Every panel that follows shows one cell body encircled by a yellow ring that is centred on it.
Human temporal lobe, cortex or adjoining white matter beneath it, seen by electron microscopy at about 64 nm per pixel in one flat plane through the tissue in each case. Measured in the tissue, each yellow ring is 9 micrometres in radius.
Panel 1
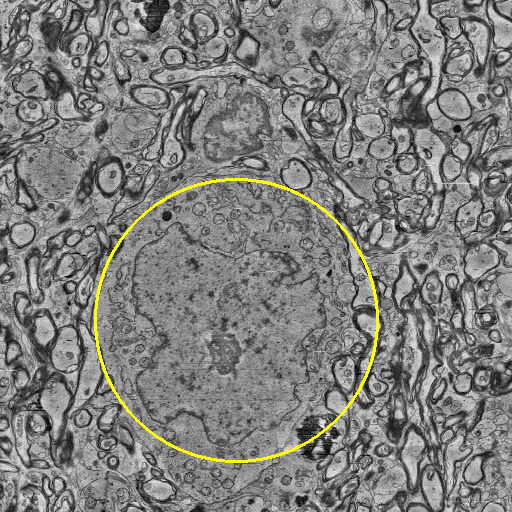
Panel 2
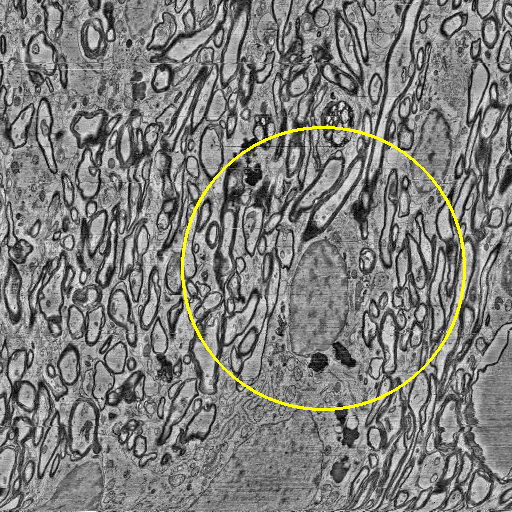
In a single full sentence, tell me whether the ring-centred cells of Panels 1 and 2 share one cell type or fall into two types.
In Panel 1 and Panel 2, the cells at the ring centres fall into two types.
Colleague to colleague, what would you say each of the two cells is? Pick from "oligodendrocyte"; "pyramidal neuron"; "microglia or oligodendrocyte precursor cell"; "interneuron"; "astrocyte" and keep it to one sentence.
The cell in the first picture is a pyramidal neuron; the second picture's cell is an oligodendrocyte.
